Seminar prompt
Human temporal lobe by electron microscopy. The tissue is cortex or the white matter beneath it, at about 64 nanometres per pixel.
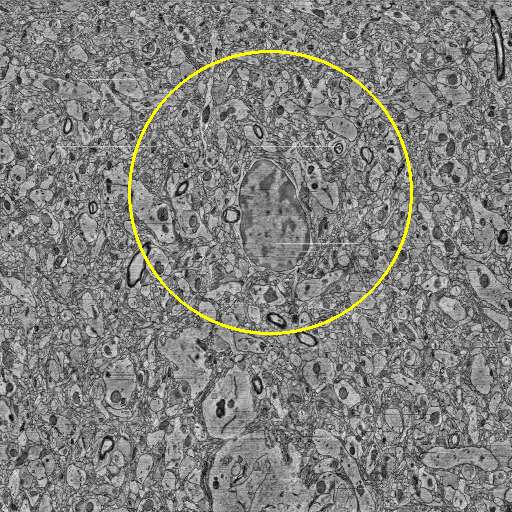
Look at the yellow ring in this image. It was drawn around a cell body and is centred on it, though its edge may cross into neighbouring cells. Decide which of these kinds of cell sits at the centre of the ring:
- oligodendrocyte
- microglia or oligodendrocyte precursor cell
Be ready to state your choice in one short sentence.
The kind of cell at the ring's centre is a microglial cell or oligodendrocyte precursor cell.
